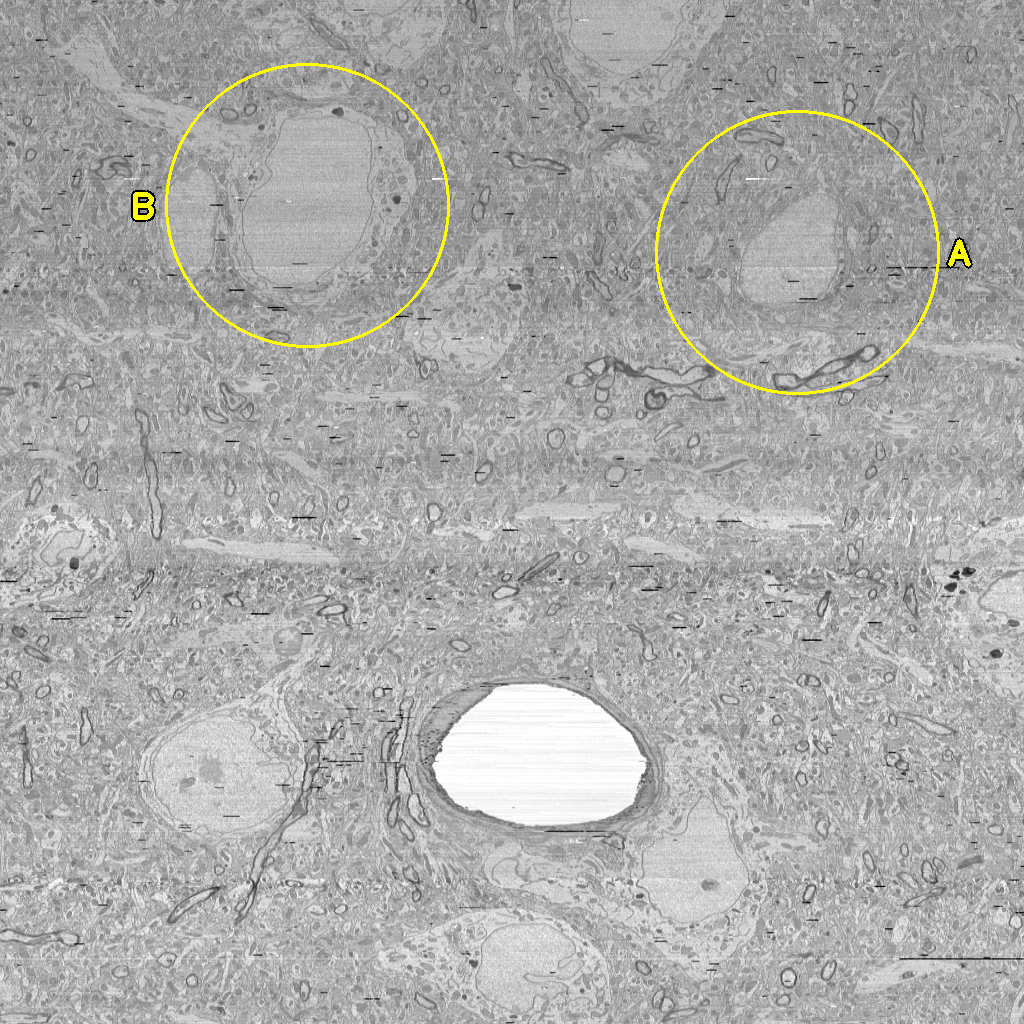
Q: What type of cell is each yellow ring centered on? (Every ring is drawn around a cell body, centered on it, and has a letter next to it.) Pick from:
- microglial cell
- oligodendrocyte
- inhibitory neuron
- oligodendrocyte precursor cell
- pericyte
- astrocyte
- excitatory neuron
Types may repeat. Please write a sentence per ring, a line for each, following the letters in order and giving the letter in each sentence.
The cell body centered in ring A belongs to an astrocyte.
The cell body centered in ring B belongs to an excitatory neuron.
